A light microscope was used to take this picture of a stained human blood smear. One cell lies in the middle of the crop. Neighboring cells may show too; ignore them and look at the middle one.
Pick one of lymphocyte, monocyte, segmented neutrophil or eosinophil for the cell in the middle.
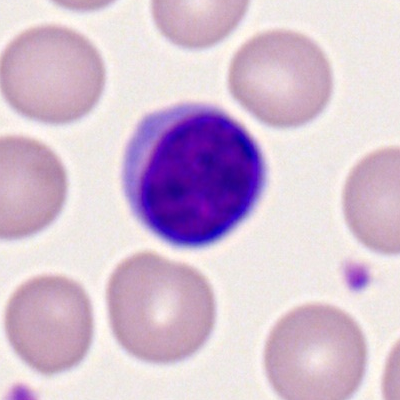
lymphocyte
